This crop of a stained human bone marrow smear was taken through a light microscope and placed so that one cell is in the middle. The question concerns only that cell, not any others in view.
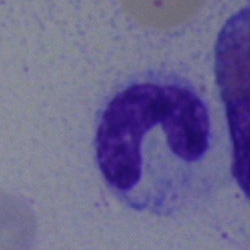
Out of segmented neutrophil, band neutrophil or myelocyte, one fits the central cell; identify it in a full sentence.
The cell at the centre of the field is a band neutrophil.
